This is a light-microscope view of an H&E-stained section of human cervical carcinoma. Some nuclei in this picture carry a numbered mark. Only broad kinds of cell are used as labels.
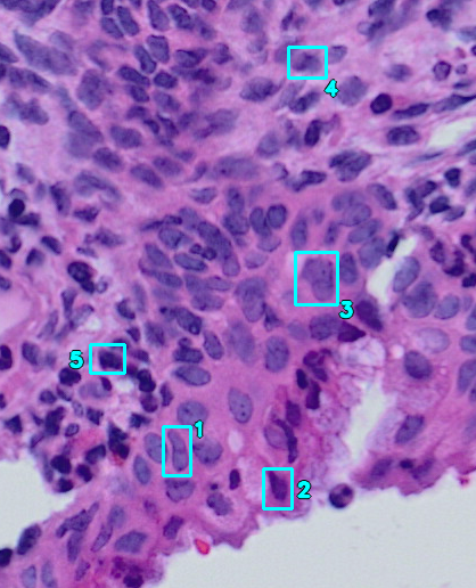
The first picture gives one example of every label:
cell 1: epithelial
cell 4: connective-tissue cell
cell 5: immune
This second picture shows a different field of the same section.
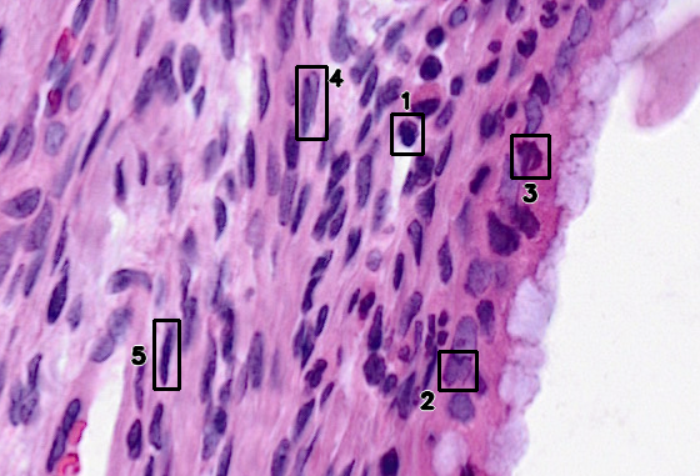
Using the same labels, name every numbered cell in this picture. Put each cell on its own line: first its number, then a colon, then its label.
1: immune
2: epithelial
3: epithelial
4: connective-tissue cell
5: connective-tissue cell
